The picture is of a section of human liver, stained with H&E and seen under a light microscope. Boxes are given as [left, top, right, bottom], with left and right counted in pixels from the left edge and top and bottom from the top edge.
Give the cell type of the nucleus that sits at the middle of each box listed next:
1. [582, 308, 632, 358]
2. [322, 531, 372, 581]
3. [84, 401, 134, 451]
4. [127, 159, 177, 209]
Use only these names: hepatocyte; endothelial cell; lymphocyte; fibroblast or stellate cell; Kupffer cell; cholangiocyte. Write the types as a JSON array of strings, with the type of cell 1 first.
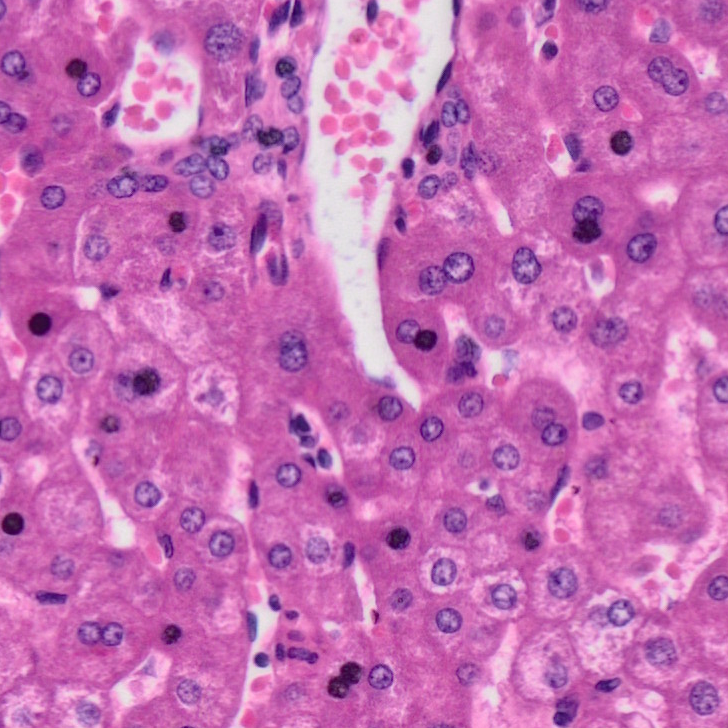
["hepatocyte", "fibroblast or stellate cell", "hepatocyte", "cholangiocyte"]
